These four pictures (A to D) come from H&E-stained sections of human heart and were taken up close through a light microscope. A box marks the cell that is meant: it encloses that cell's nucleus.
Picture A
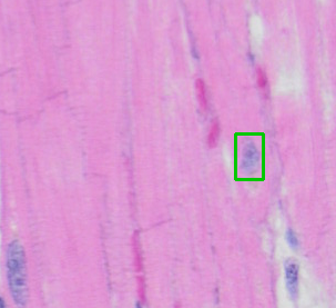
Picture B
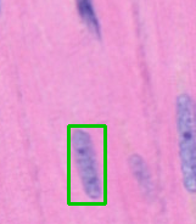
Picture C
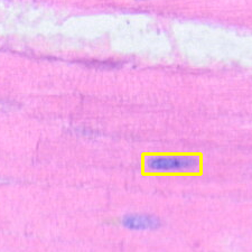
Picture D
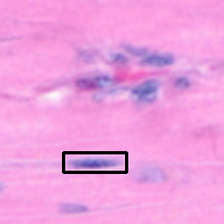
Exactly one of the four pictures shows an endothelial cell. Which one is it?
D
